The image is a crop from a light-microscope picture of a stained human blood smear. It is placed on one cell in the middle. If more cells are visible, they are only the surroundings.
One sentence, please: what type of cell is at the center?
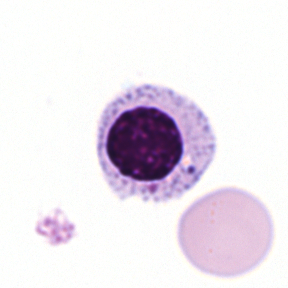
Centrally within this crop lies an erythroblast.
